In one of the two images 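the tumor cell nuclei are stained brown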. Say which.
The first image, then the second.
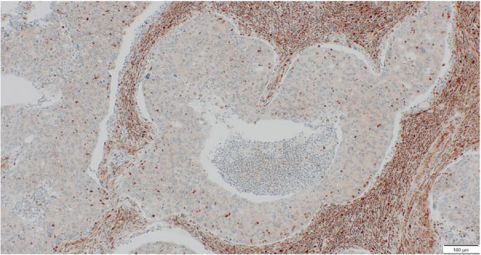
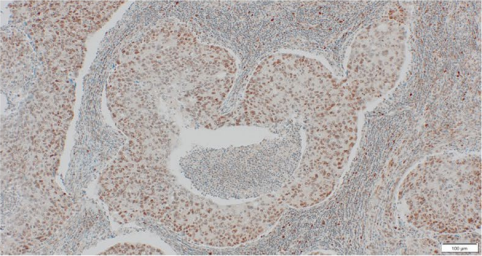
the second image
